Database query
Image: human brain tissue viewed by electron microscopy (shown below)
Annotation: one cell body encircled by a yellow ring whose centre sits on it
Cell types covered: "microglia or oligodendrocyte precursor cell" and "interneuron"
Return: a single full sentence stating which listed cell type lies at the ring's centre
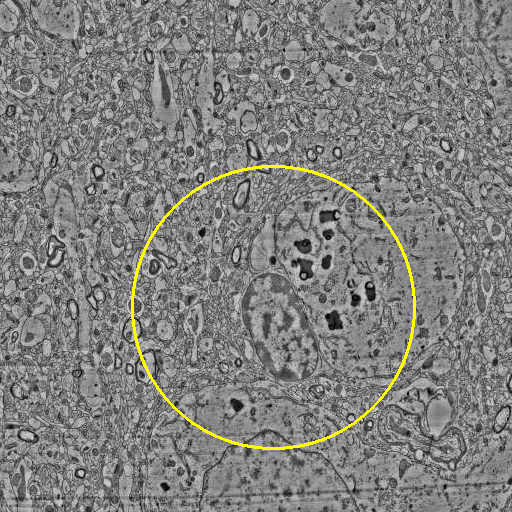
In the image, the cell lying at the ring's centre is a microglial cell or oligodendrocyte precursor cell.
